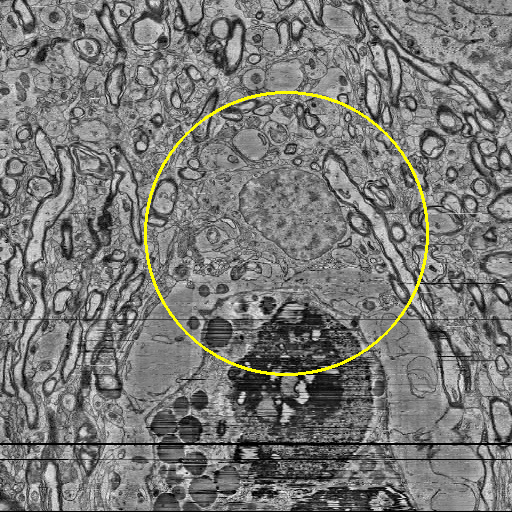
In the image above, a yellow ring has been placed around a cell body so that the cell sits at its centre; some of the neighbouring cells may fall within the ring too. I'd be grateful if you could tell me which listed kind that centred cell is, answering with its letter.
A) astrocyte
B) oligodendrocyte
B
